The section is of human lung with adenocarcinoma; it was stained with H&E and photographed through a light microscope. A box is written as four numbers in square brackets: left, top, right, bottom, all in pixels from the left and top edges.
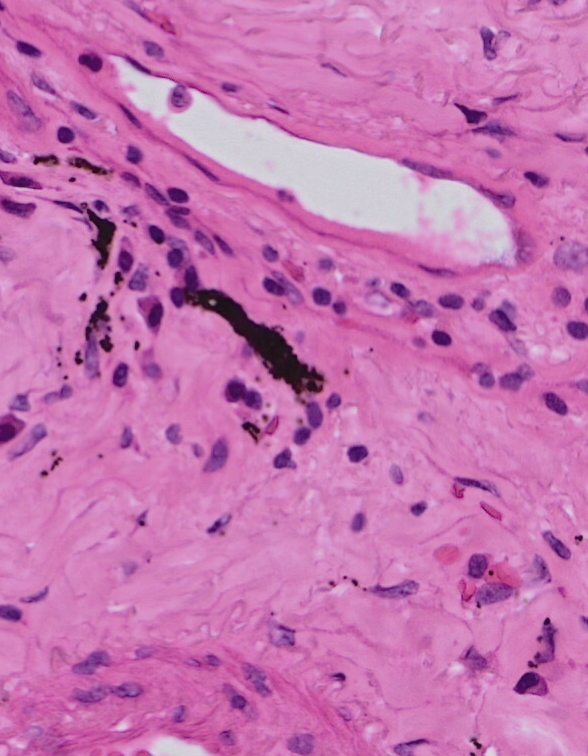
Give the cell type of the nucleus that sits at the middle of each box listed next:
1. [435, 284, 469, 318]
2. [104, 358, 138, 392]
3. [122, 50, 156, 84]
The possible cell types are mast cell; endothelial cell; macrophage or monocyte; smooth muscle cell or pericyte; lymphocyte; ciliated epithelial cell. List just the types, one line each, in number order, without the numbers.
lymphocyte
mast cell
endothelial cell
